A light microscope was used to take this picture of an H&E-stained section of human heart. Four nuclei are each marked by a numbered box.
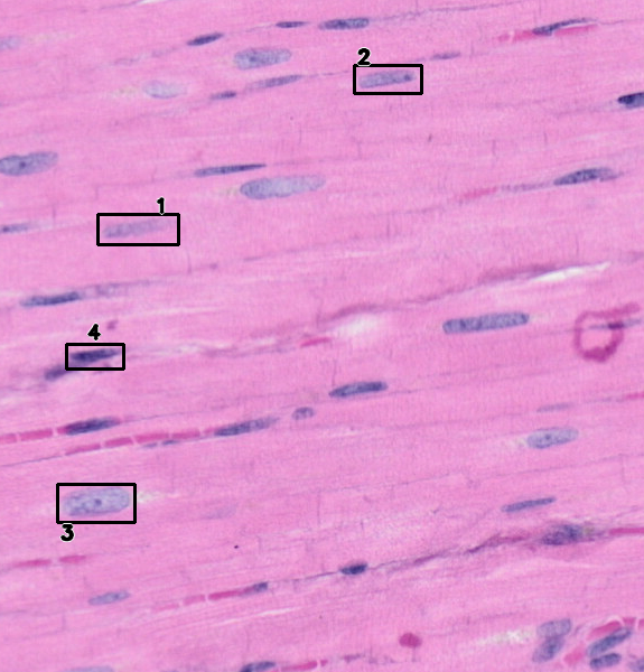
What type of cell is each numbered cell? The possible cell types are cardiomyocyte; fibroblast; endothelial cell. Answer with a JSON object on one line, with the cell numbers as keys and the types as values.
{"1": "cardiomyocyte", "2": "cardiomyocyte", "3": "cardiomyocyte", "4": "endothelial cell"}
